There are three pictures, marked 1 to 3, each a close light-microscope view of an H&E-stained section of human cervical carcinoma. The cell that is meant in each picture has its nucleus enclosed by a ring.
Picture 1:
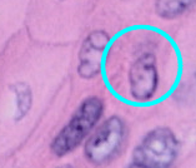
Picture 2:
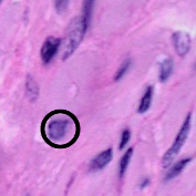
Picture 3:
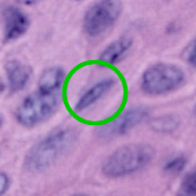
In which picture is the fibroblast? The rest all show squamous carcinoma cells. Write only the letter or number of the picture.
2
